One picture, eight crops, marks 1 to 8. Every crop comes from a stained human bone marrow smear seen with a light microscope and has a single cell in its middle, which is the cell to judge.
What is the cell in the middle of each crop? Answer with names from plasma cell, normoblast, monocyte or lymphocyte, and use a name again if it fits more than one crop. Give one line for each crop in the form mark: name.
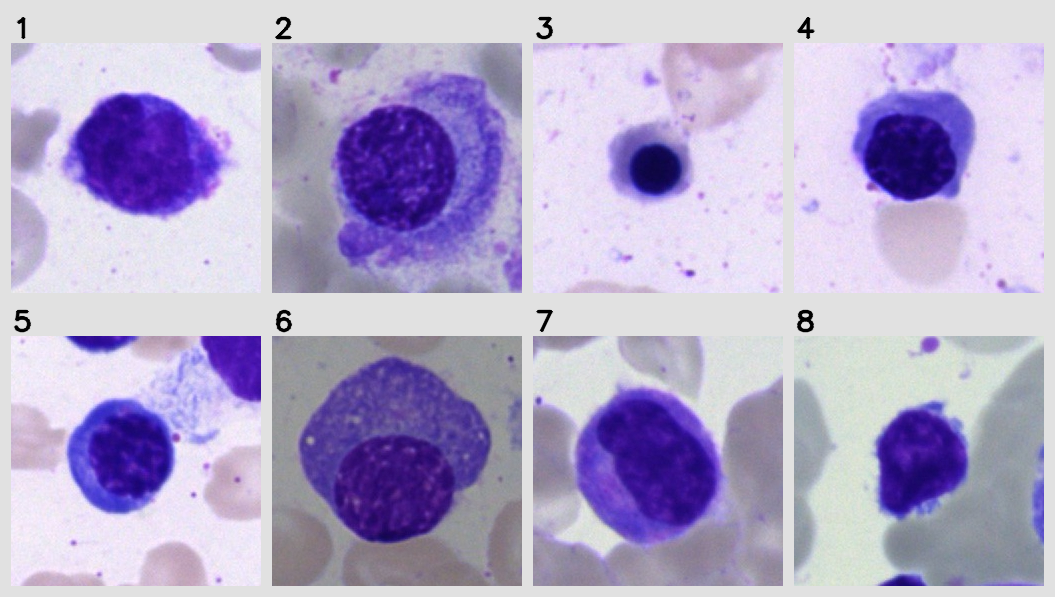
1: monocyte
2: plasma cell
3: normoblast
4: normoblast
5: normoblast
6: plasma cell
7: monocyte
8: lymphocyte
